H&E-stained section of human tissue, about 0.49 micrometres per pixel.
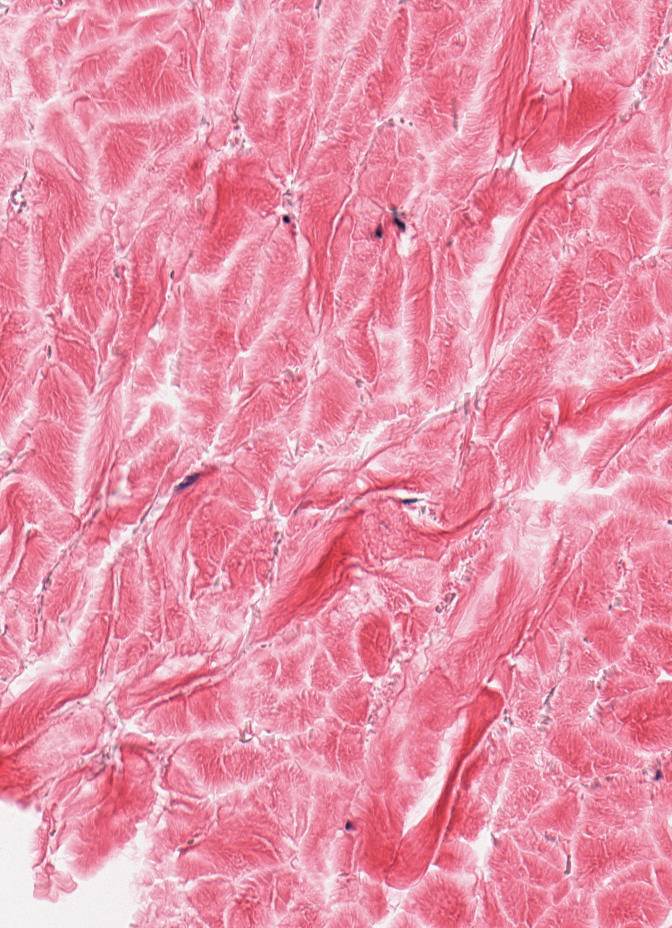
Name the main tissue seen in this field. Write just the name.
dermis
